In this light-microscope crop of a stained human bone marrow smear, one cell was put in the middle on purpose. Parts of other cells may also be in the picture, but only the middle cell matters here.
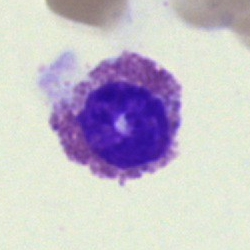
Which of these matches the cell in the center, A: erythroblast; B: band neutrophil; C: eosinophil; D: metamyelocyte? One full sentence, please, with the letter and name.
That the central cell is an eosinophil makes option C correct.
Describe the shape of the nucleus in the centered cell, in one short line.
If you check the nucleus, you will find one compact mass, round, oval or kidney-shaped.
